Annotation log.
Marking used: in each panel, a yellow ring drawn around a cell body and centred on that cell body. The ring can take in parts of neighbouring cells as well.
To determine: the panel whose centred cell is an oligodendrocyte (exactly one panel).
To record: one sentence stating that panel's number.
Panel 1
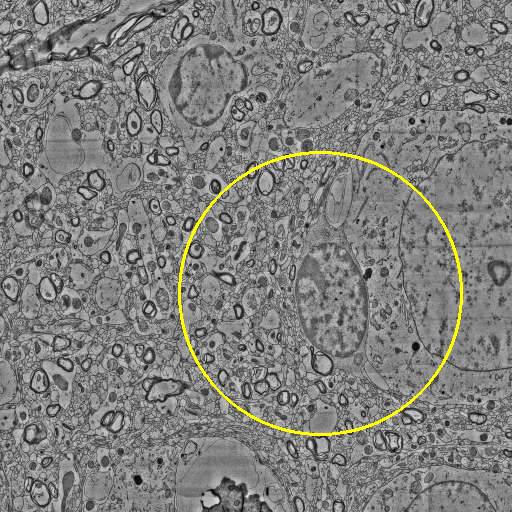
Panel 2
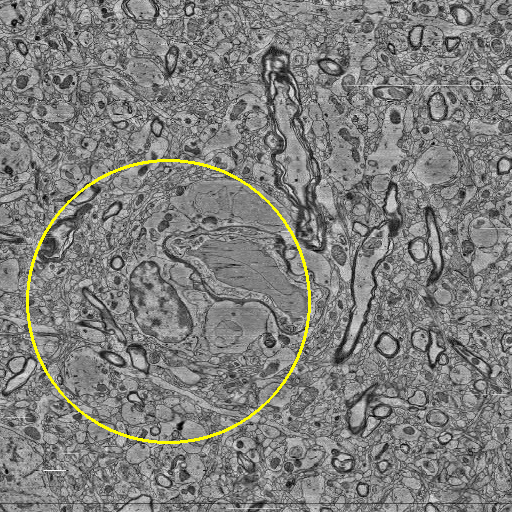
Panel 1 shows it at the centre of its ring.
